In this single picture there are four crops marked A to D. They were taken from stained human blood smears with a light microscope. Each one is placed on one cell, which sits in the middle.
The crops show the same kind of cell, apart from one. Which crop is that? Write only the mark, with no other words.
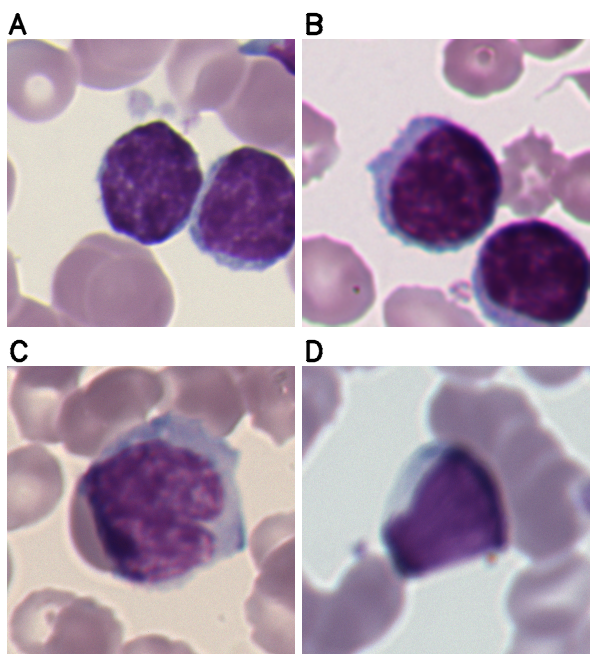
C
